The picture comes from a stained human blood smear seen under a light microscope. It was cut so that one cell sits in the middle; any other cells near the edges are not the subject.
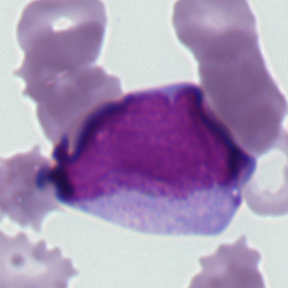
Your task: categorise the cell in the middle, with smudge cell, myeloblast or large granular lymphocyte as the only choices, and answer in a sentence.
In the crop, the cell of interest at the centre is a myeloblast.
